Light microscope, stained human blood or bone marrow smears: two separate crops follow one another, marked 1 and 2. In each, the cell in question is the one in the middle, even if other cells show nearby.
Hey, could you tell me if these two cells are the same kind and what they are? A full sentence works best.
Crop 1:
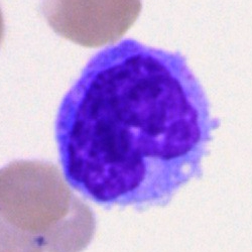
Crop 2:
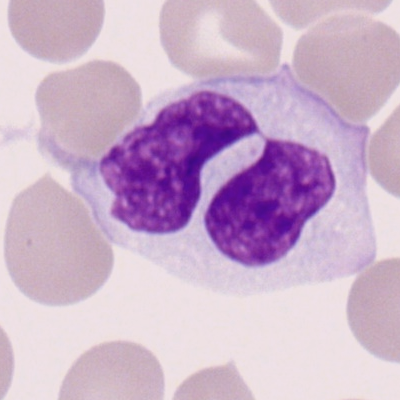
Yes, monocytes are the cells in the middle of both crops.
